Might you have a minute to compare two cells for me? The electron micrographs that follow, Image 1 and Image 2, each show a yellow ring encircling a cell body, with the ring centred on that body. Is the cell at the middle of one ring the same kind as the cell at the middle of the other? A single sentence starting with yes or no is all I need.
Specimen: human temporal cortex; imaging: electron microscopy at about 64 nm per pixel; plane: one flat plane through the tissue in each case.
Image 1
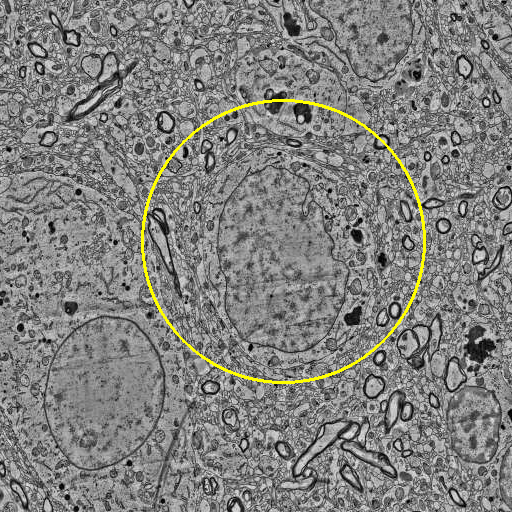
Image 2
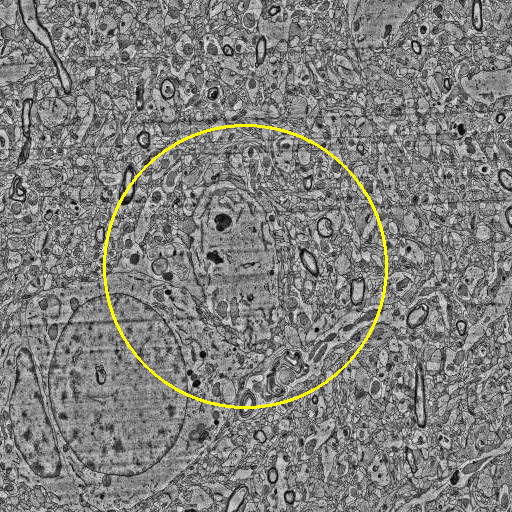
Yes, the cells in the middle of the two rings are of one shared kind.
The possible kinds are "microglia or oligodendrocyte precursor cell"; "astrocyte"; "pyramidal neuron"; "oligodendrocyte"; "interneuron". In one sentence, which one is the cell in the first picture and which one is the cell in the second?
Each of the ringed cells, first and second, is a pyramidal neuron.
